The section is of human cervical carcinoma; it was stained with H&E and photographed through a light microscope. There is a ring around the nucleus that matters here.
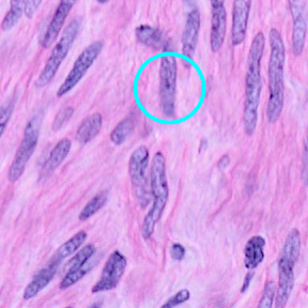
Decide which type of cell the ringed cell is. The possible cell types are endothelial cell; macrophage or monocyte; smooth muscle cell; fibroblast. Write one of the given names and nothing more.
smooth muscle cell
